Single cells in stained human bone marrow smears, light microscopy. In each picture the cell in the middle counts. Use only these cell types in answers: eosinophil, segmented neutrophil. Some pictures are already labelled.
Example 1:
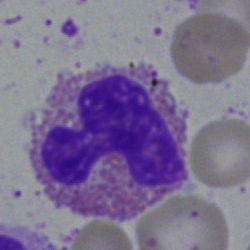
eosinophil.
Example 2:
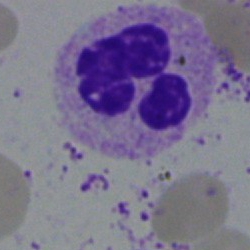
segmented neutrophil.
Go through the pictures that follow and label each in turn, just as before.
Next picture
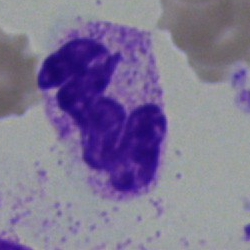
segmented neutrophil.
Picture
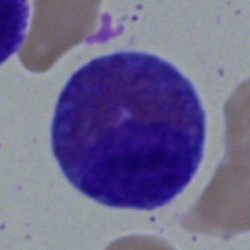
eosinophil.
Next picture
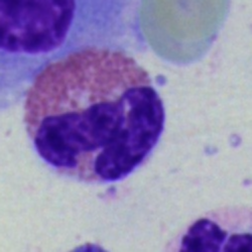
eosinophil.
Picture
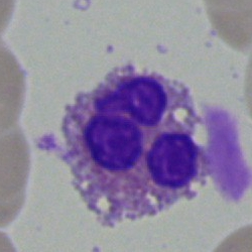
eosinophil.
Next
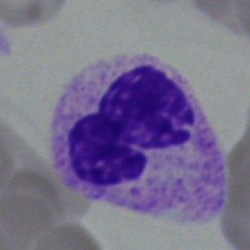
segmented neutrophil.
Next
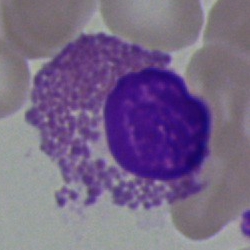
eosinophil.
